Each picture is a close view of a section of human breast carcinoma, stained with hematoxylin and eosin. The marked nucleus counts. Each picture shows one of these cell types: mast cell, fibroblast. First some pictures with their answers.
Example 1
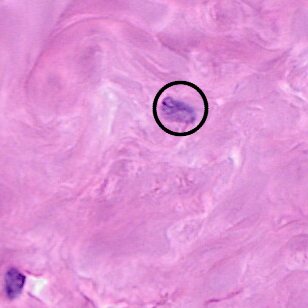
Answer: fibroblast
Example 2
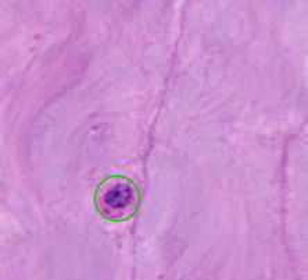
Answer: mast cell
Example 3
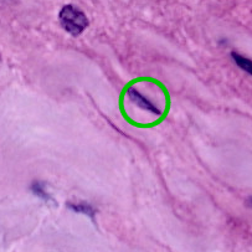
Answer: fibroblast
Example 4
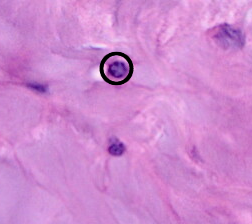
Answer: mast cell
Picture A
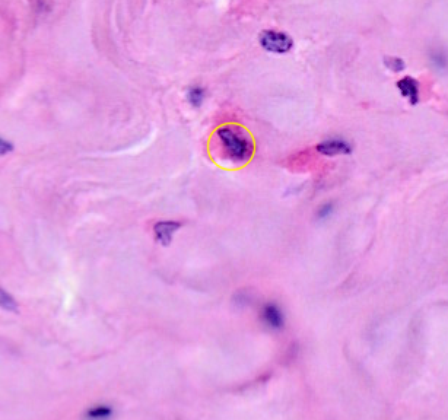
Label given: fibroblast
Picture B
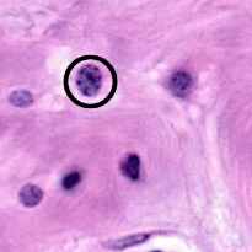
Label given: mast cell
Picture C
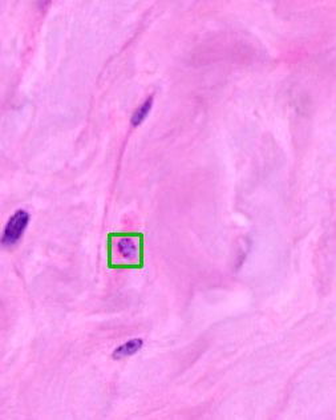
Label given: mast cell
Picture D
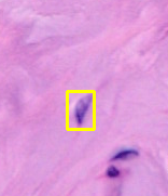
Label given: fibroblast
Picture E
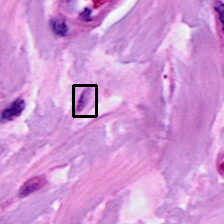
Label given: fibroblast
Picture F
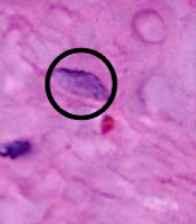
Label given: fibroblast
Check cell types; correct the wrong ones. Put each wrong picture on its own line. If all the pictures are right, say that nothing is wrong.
Wrong: A (fibroblast); correct: mast cell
